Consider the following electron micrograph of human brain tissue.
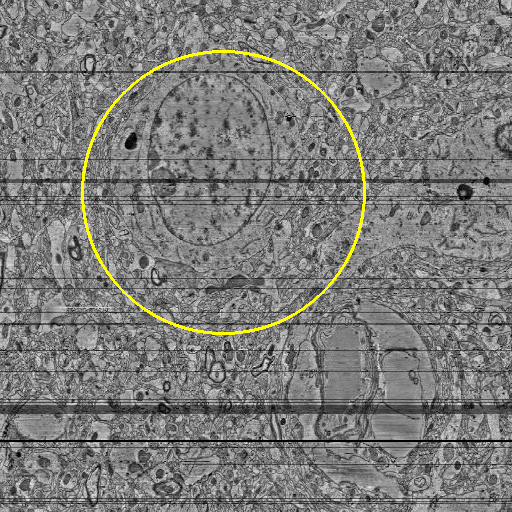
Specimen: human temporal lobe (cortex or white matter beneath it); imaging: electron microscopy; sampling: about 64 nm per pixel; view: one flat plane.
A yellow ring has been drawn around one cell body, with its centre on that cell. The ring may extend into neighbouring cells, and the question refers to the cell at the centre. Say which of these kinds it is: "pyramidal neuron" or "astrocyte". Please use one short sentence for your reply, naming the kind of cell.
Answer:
The centre of the ring falls on a pyramidal neuron.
